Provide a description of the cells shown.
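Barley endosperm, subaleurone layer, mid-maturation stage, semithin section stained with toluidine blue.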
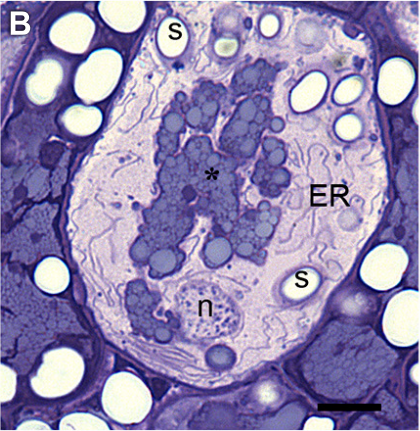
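Rounded, spheroidal starch grains appear as white bodies at the cell margin and fill the surrounding cells. A nucleus with granular, irregular chromatin lies below the protein body.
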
